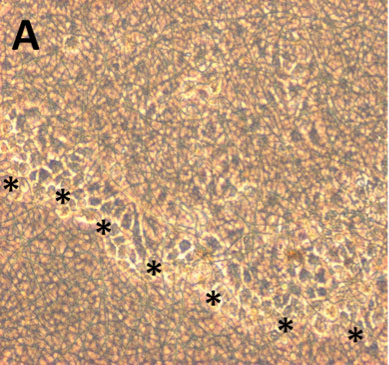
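Epithelial cells growing over a mesh of fine fibers, seen by phase contrast. Thin dark threads cross the whole field in a random, interwoven network. The cells are polygonal and lie close together as a sheet, with pale outlines between neighbouring cells and darker central nuclei in places. A diagonal band runs from the left edge toward the lower right, where the cell borders look brighter and the cells appear more spread and loosely joined, marking the advancing edge of the sheet. The fibers remain visible on top of and between the cells throughout the field.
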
